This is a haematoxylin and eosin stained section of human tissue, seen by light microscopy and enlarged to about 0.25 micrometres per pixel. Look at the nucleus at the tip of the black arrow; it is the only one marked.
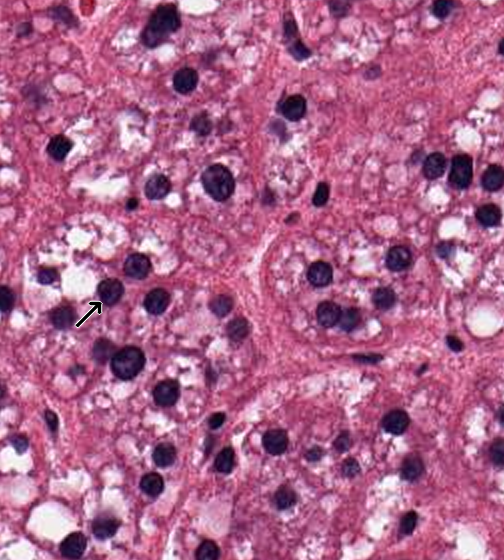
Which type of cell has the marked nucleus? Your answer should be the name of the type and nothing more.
adrenal cortical cell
